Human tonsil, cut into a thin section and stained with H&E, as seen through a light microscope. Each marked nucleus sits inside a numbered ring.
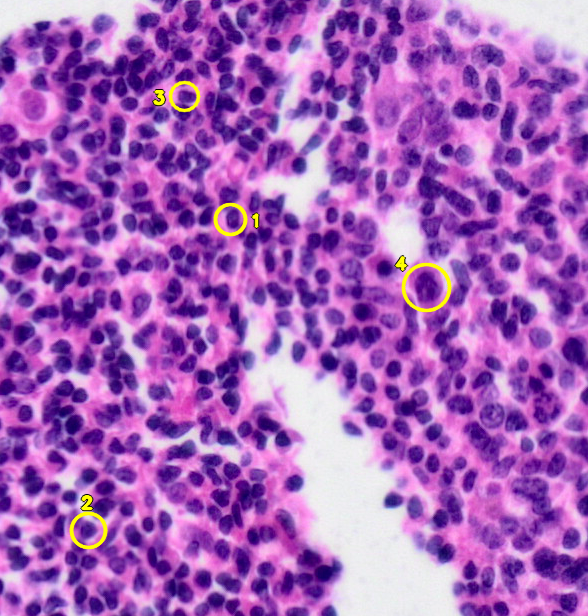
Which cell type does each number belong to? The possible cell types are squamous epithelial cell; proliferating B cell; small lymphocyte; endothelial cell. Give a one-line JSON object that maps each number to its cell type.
{"1": "small lymphocyte", "2": "small lymphocyte", "3": "small lymphocyte", "4": "proliferating B cell"}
